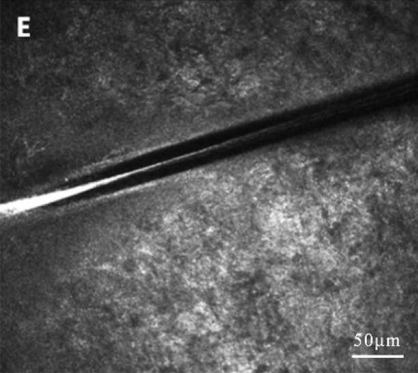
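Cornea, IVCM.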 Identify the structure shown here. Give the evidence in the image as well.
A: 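Sutures. A straight dark band with a bright edge crosses the field diagonally.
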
